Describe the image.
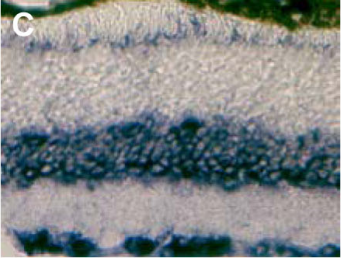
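This is a retinal section with its layers running horizontally across the field. At the top lies a dark green-black pigmented band. Beneath it are a pale zone and a thick, faintly stained layer. A broad band of packed rounded cell bodies is stained strongly dark blue. At the bottom, separated by a paler band, is a discontinuous row of stained cell clusters.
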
